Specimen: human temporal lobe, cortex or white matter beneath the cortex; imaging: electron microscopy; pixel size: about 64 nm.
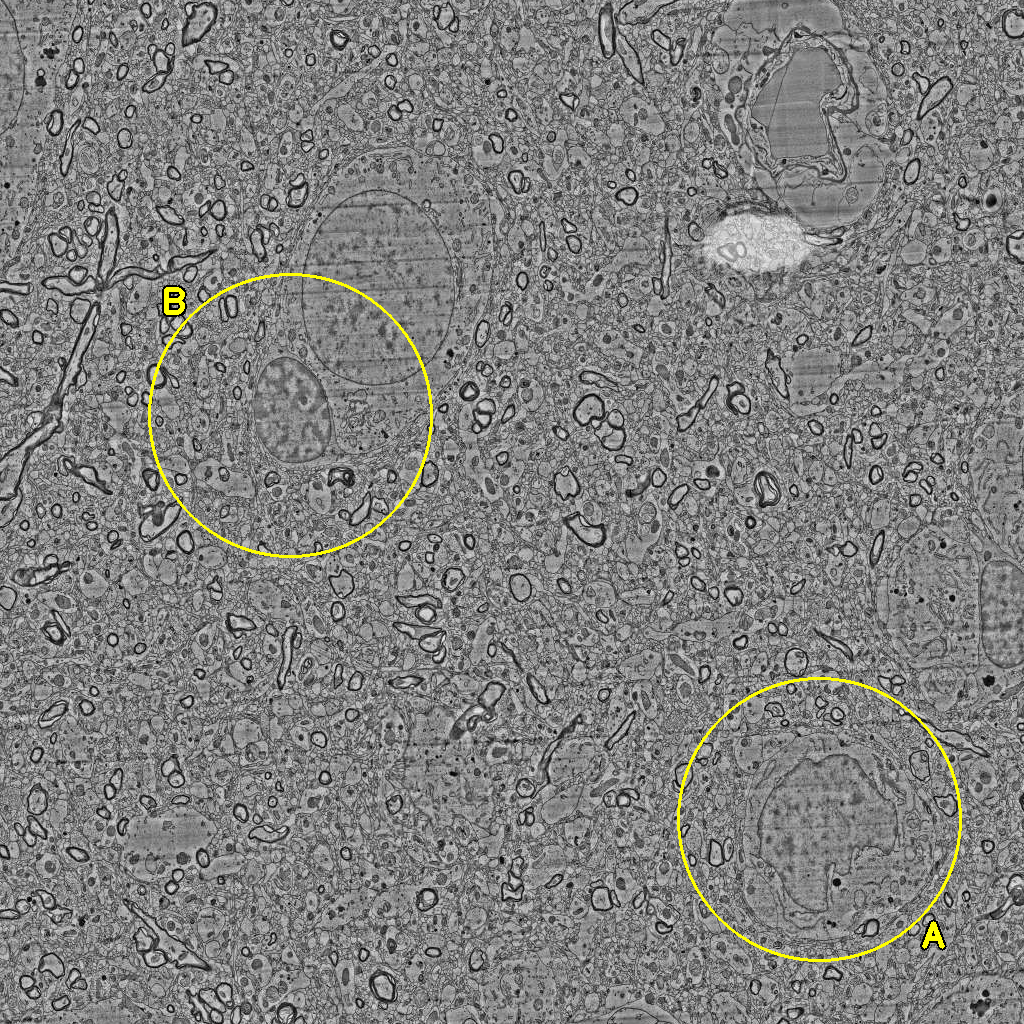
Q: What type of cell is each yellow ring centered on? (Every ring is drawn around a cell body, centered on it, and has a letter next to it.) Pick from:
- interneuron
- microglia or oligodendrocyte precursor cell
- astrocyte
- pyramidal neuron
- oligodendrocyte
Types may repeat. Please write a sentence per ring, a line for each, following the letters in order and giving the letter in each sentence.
The cell body centered in ring A belongs to an interneuron.
The cell body centered in ring B belongs to an oligodendrocyte.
